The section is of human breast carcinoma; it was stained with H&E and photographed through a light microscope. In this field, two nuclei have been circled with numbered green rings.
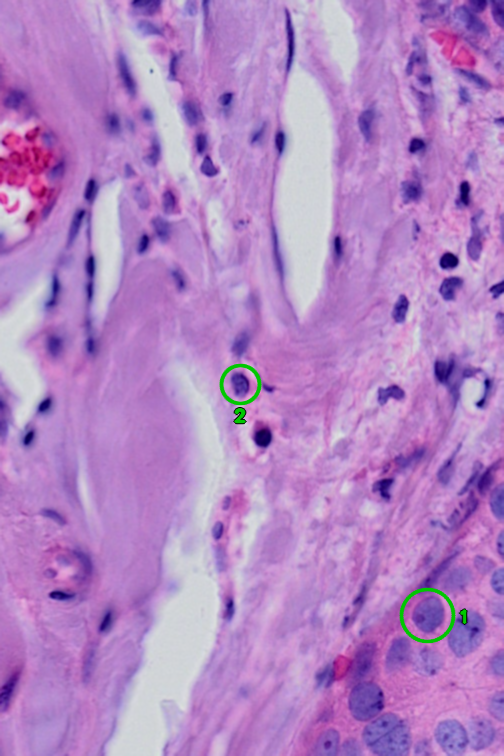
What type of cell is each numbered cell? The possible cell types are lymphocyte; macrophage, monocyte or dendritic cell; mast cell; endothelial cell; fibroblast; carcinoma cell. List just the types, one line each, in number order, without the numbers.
carcinoma cell
mast cell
